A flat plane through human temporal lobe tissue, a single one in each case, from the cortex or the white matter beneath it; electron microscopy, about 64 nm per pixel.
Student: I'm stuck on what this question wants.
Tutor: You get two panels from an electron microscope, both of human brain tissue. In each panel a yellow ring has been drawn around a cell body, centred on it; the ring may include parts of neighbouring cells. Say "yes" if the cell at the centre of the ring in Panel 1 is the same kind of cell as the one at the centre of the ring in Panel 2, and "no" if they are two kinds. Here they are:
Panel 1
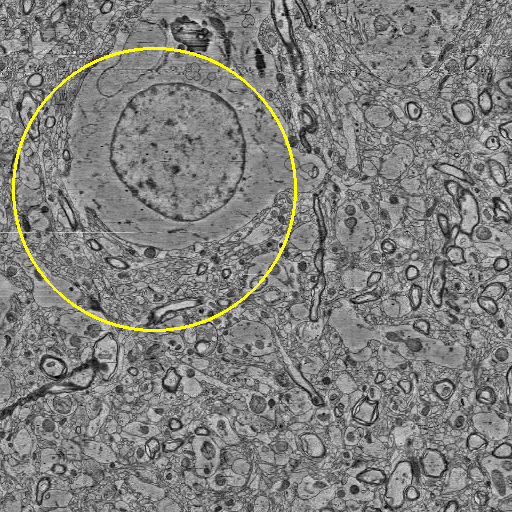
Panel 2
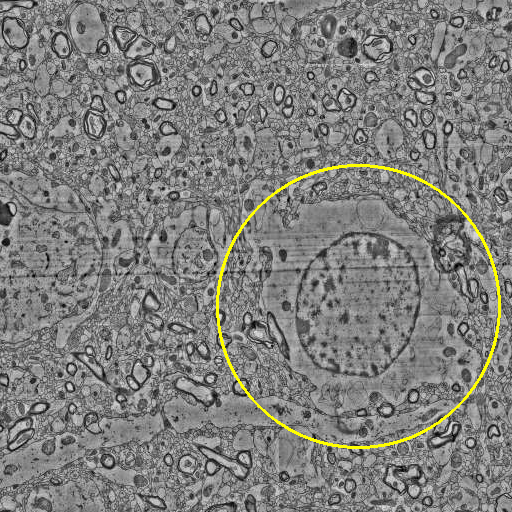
yes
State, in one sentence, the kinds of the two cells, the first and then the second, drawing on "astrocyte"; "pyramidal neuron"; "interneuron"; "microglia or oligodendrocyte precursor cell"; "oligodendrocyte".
The cell in the first picture is an astrocyte, and so is the one in the second.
